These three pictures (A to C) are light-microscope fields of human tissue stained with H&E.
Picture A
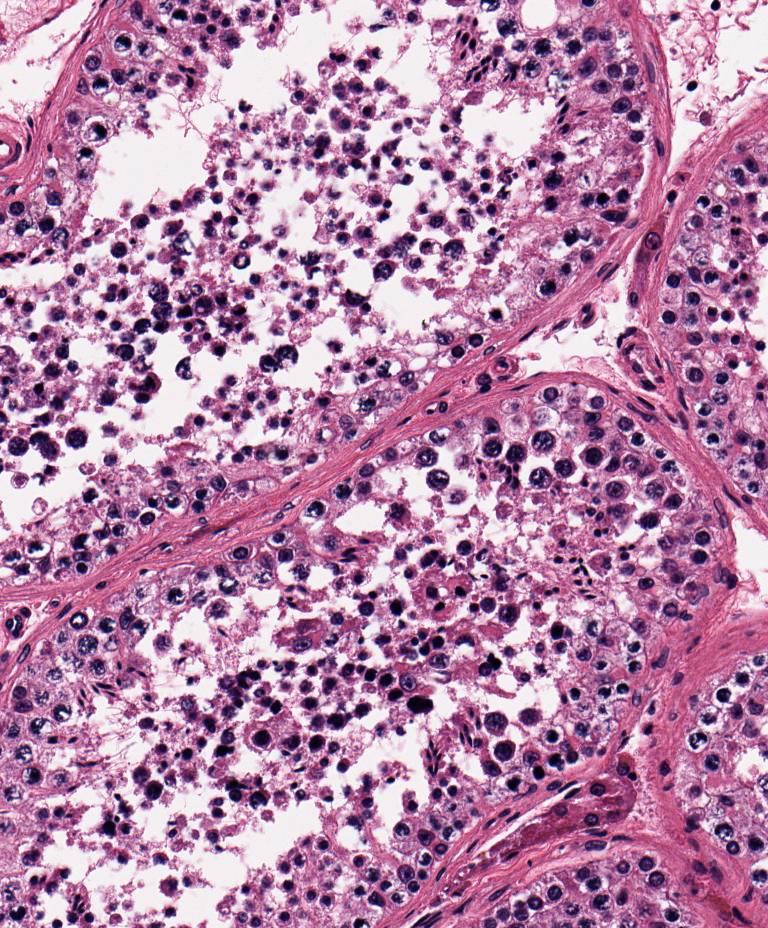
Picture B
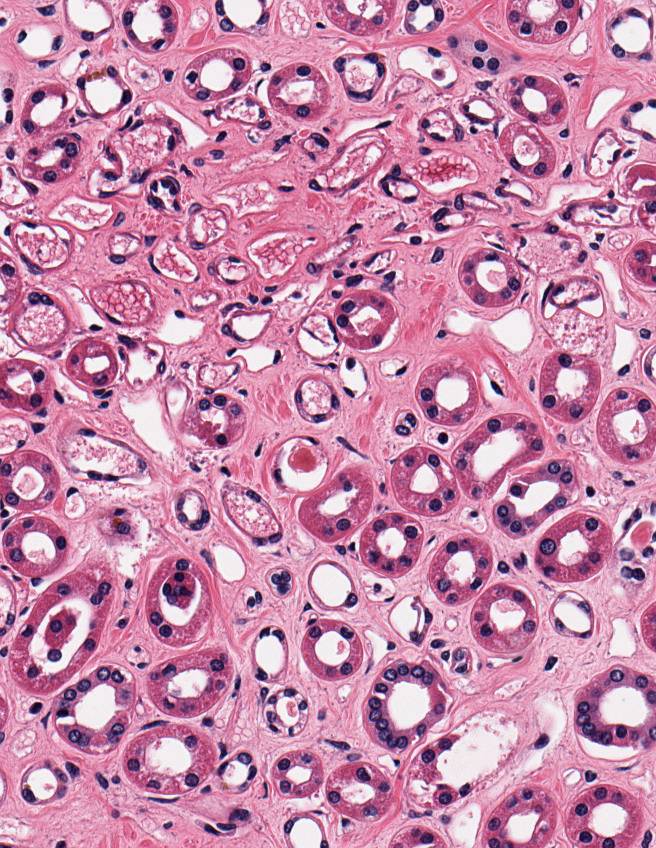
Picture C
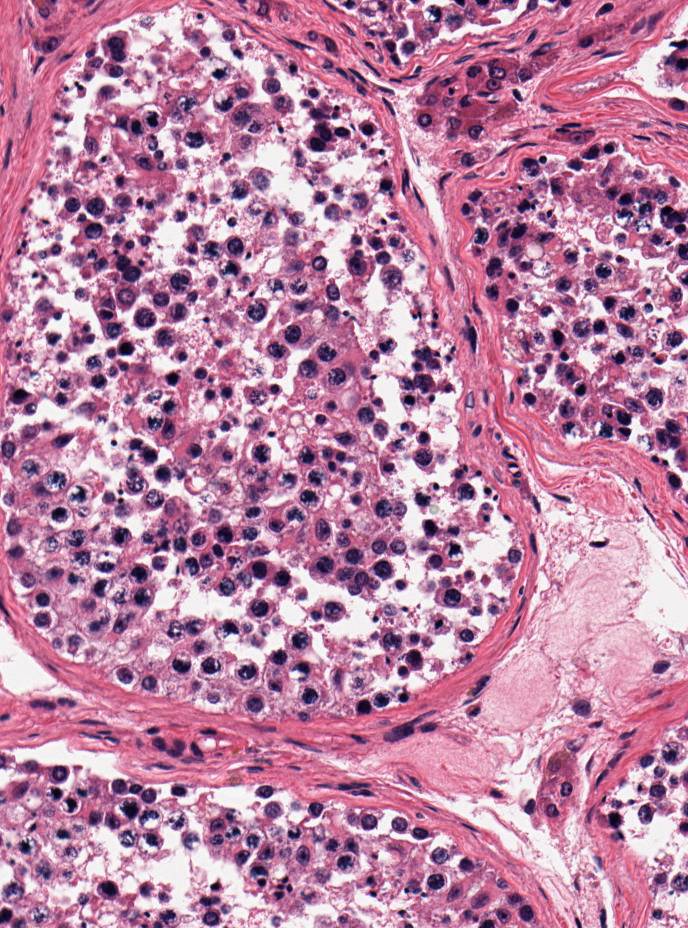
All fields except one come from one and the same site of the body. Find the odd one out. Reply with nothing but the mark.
B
